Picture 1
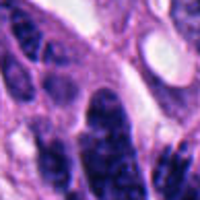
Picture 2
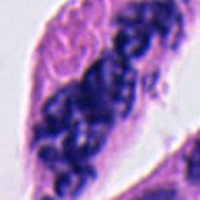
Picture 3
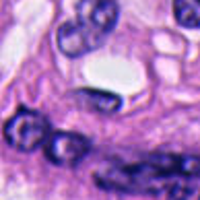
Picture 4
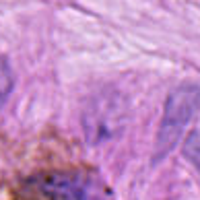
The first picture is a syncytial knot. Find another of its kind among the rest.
Picture 2.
